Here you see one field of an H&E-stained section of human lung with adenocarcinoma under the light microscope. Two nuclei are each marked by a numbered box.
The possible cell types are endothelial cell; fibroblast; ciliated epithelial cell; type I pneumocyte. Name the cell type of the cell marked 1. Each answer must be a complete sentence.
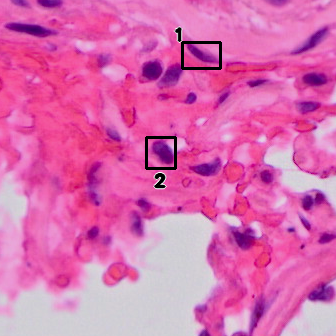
The nucleus marked 1 is the nucleus of an endothelial cell.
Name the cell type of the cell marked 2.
That cell with number 2 is a type I pneumocyte.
